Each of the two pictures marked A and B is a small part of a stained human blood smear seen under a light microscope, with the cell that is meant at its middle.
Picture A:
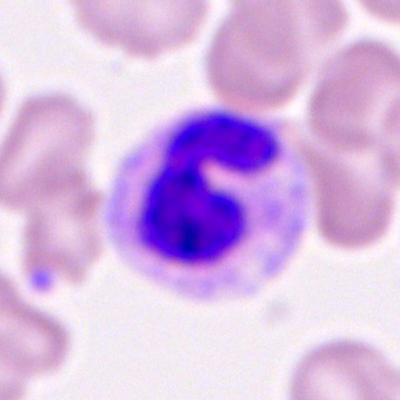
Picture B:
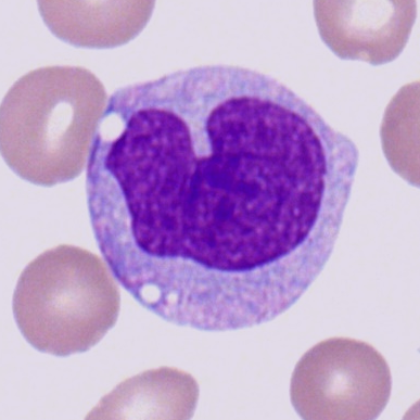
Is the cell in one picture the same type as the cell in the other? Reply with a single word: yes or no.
no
